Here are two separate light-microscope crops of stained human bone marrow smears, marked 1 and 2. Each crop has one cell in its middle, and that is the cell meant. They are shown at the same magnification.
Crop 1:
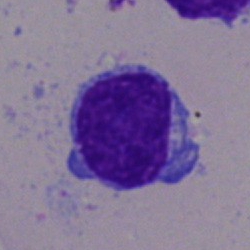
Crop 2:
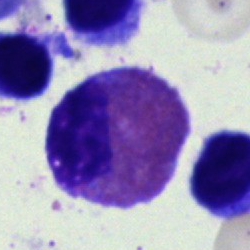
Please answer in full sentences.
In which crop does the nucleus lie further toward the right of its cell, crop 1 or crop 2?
The nucleus in crop 1 lies further toward the right of its cell.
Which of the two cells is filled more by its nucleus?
In crop 1 the nucleus takes up the larger part of its cell.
